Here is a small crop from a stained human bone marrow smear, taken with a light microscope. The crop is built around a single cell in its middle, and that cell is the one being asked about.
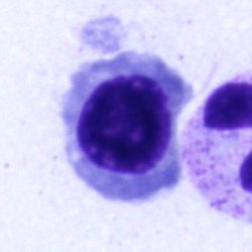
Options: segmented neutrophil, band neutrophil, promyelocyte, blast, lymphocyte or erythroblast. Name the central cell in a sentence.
In short, the cell at the center is an erythroblast.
